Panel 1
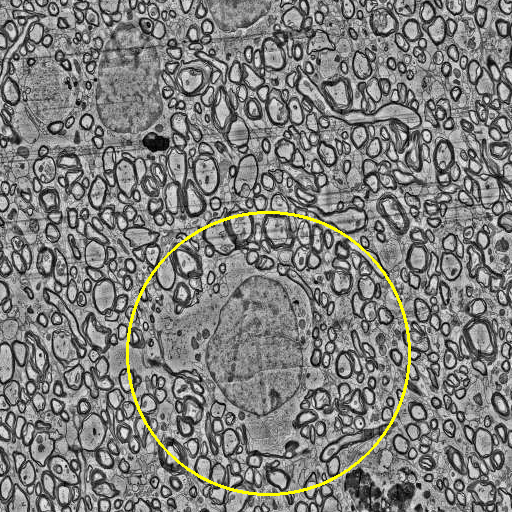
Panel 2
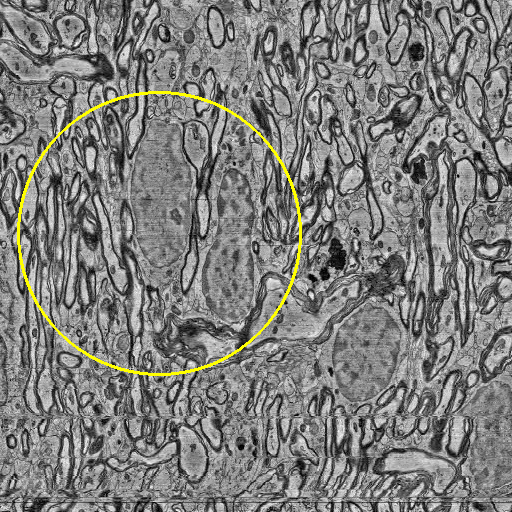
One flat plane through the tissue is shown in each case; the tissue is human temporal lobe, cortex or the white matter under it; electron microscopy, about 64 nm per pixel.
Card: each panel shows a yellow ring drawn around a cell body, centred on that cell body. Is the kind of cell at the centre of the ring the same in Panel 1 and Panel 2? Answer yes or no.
no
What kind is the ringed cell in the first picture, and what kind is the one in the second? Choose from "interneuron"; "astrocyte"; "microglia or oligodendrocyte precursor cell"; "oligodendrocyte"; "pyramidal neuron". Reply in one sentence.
The first cell is an astrocyte; the second is an oligodendrocyte.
